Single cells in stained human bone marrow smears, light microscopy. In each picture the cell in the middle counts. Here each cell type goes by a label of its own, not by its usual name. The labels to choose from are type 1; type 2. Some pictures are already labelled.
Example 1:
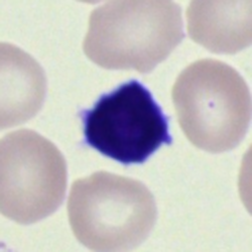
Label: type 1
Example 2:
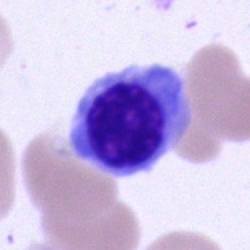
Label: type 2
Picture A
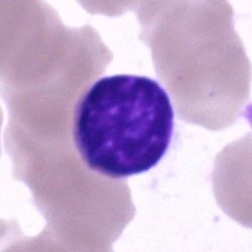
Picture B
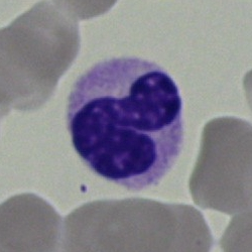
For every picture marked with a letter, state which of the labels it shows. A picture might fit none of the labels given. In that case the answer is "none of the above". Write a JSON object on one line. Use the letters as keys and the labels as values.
{"A": "type 1", "B": "none of the above"}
